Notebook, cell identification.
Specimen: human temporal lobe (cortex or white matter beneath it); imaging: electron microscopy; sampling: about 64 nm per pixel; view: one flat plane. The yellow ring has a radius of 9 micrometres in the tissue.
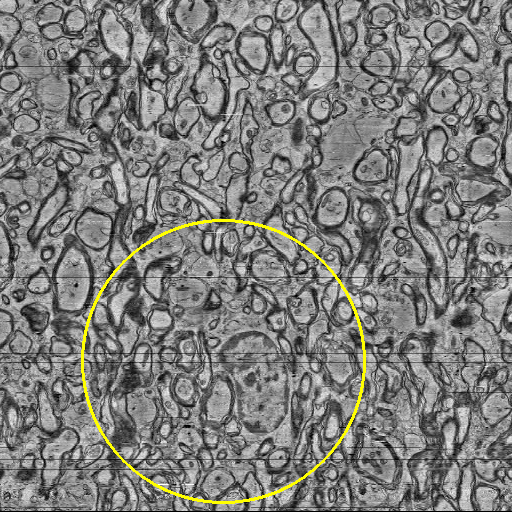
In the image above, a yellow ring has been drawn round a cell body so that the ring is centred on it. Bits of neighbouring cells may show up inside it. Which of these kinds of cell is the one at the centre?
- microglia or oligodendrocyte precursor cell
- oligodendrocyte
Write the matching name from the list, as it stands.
microglia or oligodendrocyte precursor cell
